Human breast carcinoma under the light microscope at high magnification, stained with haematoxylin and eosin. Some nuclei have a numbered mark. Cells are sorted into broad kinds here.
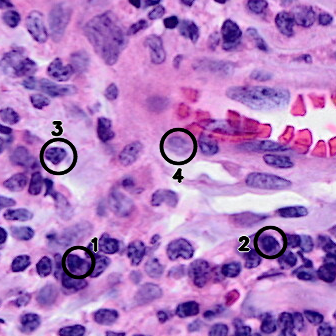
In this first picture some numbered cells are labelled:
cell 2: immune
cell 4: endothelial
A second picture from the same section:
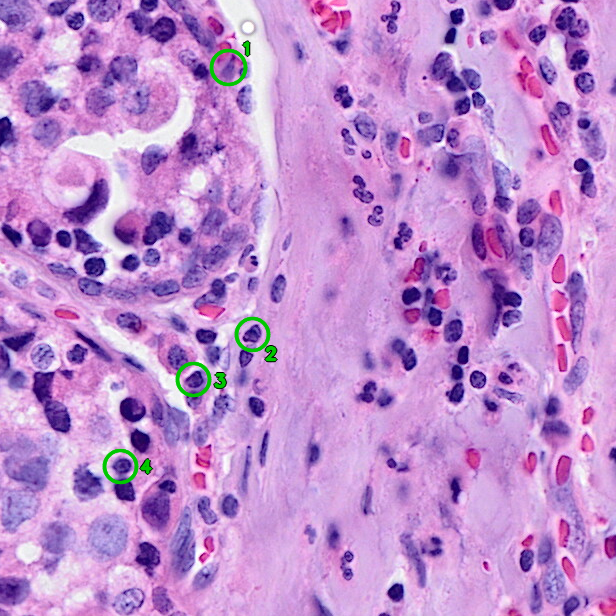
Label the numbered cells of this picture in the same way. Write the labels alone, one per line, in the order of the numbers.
endothelial
immune
immune
immune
